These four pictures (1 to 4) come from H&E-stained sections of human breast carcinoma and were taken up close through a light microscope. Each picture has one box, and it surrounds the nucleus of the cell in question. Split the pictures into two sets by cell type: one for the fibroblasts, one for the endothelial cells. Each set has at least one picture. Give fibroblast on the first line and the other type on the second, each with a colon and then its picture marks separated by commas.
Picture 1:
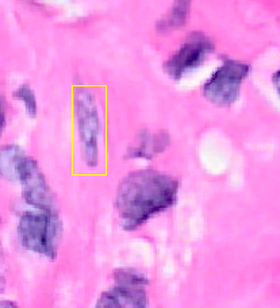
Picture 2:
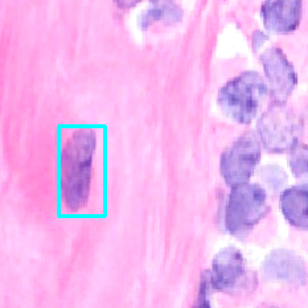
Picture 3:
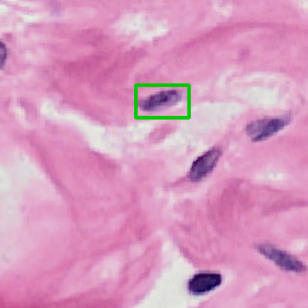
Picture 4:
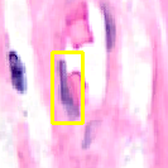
fibroblast: 2, 3
endothelial cell: 1, 4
